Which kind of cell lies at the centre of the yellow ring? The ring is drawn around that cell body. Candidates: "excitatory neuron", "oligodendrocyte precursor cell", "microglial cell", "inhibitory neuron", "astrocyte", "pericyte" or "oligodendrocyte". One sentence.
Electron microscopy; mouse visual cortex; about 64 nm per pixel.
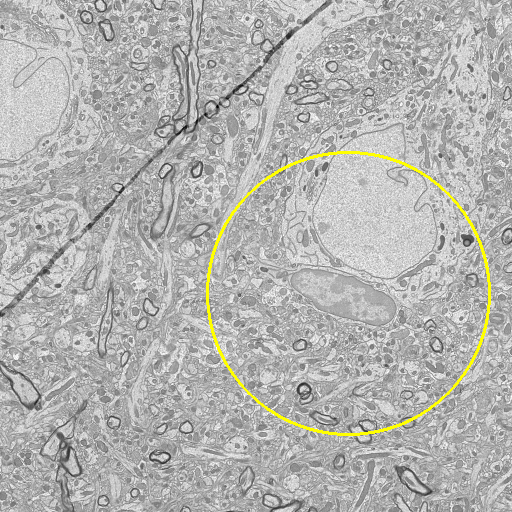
Lying at the centre of the ring is a microglial cell.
